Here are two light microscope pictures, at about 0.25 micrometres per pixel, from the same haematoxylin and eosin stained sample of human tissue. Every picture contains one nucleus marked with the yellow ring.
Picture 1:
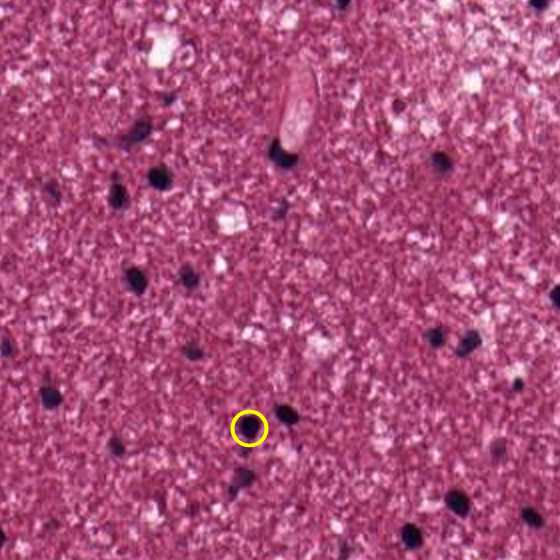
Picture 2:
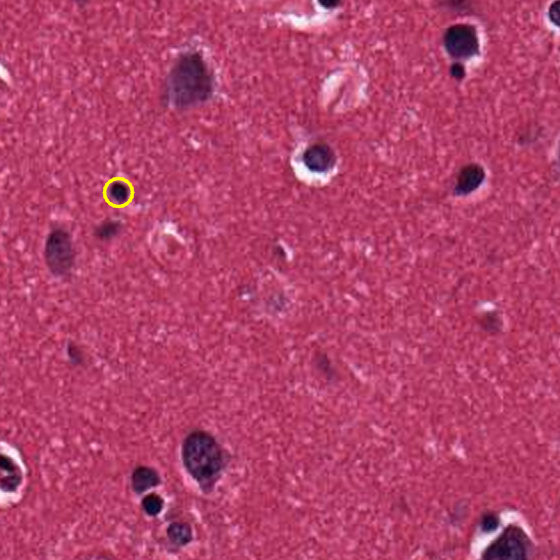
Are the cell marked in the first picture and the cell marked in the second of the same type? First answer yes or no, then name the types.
Yes, both are oligodendrocytes.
